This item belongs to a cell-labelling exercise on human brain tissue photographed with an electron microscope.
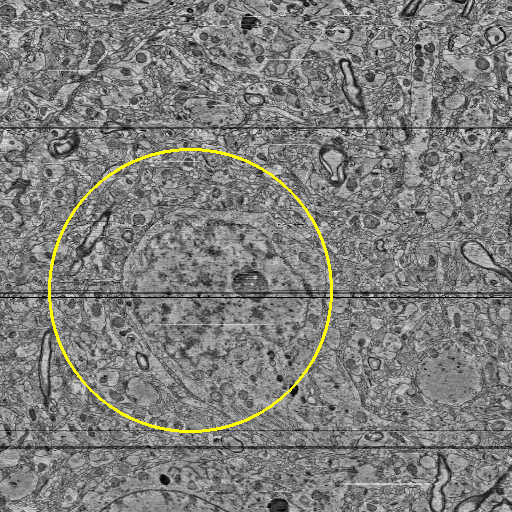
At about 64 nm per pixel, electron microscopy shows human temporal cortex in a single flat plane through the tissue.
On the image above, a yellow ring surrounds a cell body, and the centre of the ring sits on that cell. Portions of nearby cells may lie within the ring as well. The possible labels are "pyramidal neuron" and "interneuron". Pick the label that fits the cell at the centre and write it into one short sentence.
This cell should be labelled as an interneuron.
